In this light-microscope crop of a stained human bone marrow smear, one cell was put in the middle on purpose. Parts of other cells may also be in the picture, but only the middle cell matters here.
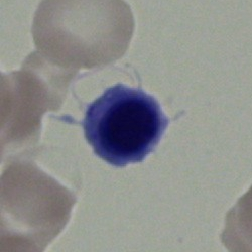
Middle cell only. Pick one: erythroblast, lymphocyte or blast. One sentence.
What sits at the centre of this crop is an erythroblast.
